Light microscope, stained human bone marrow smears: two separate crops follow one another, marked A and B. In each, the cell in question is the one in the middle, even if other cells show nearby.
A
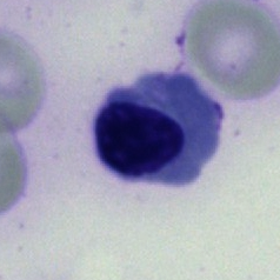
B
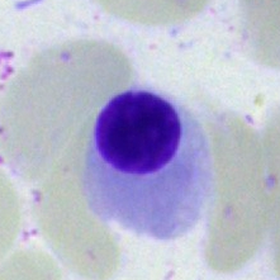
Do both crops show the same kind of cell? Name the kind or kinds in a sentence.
Yes, erythroblasts are what the two crops show.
